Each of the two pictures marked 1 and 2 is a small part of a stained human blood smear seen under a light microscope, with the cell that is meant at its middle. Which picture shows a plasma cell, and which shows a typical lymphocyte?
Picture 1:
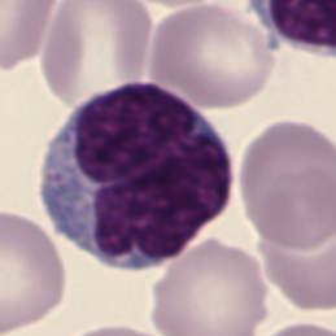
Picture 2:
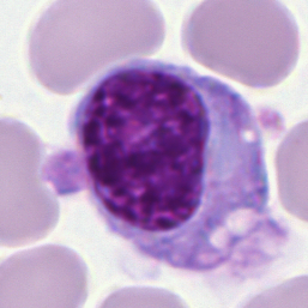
1: typical lymphocyte
2: plasma cell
